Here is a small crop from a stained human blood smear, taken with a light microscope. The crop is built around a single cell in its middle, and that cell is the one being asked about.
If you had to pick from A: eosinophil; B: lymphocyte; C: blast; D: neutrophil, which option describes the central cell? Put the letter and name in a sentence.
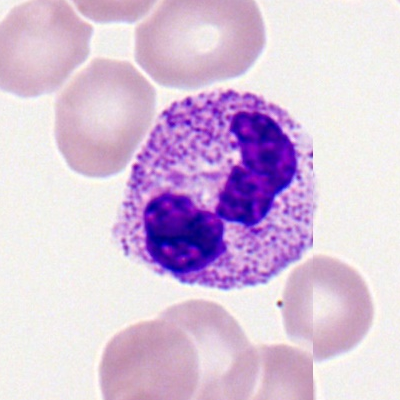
In the centre of the crop there is a neutrophil, making option D correct.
